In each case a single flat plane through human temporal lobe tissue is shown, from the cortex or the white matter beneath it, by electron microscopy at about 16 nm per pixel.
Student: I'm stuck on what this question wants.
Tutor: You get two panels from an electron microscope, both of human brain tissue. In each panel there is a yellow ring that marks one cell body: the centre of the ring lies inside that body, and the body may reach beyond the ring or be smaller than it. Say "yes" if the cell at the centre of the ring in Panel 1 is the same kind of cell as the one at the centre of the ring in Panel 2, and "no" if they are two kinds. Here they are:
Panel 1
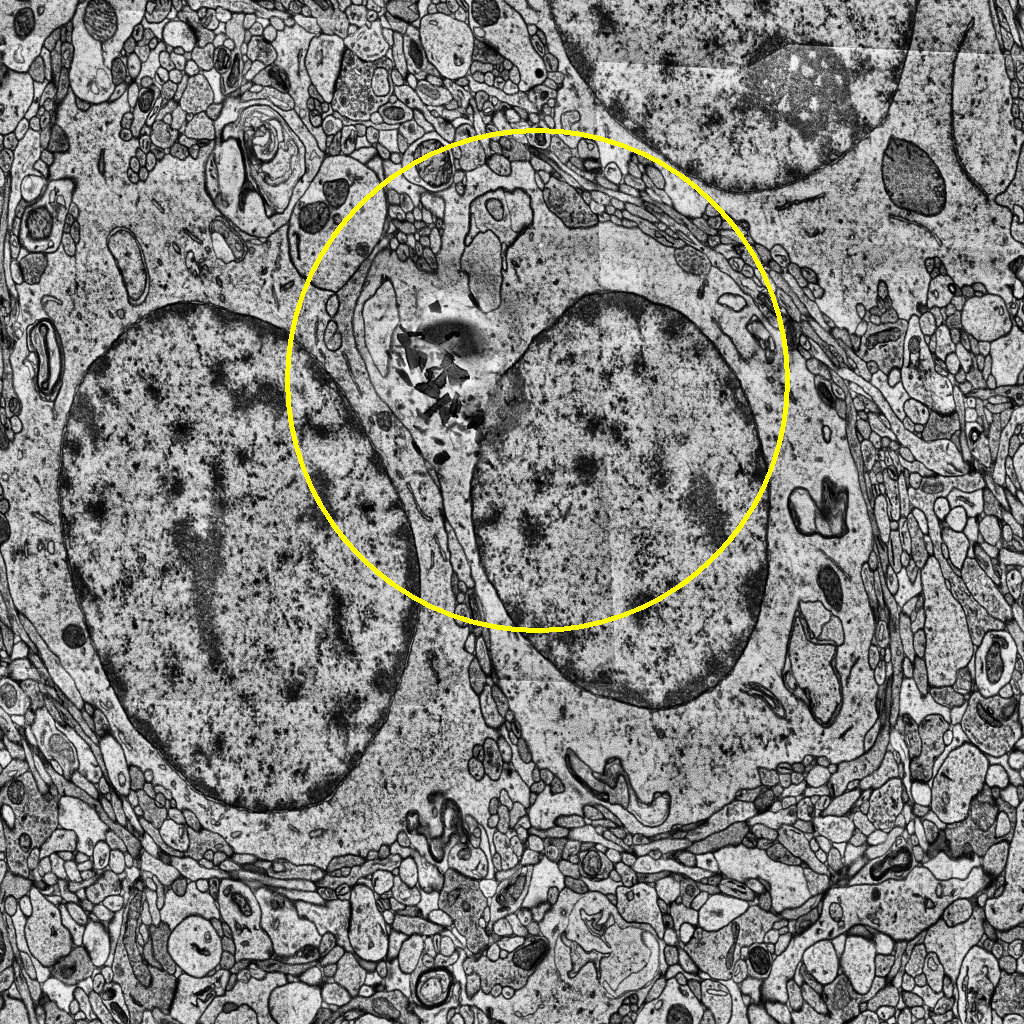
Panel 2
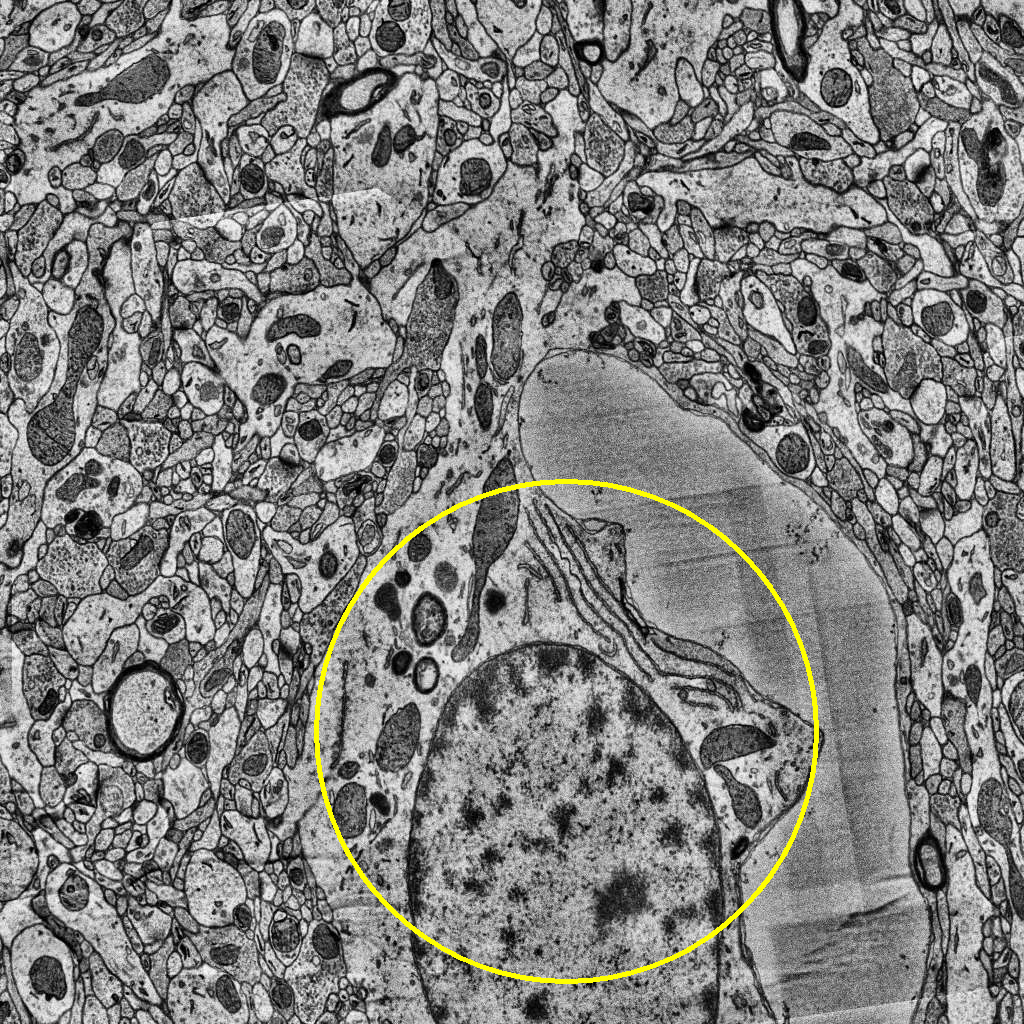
yes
